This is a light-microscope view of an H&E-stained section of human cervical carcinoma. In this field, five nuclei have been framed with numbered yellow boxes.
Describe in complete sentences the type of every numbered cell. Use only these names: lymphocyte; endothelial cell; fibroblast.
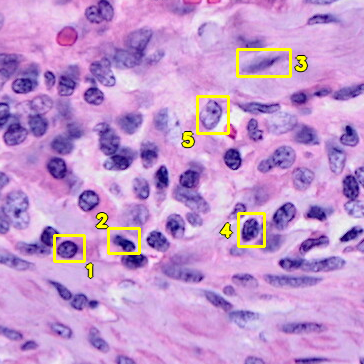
Cell 1 is a lymphocyte, cell 2 is a lymphocyte, cell 3 is a fibroblast, cell 4 is a lymphocyte and cell 5 is an endothelial cell.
